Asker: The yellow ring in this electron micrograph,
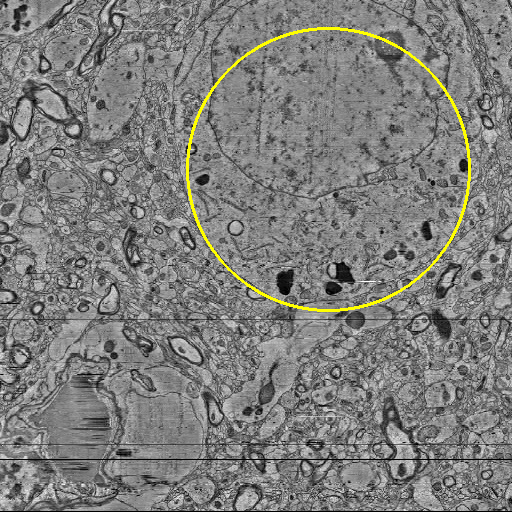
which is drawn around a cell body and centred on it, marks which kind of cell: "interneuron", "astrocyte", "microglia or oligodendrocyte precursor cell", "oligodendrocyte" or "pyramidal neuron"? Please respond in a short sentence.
The marked cell is a pyramidal neuron.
